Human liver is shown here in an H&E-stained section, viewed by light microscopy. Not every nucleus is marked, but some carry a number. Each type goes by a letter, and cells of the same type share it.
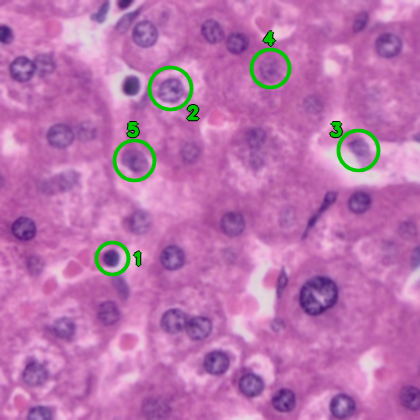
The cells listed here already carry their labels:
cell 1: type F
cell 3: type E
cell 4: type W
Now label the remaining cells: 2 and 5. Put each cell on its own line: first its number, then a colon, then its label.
2: type W
5: type E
